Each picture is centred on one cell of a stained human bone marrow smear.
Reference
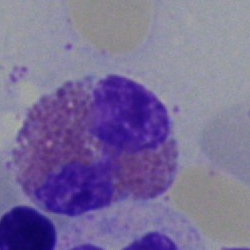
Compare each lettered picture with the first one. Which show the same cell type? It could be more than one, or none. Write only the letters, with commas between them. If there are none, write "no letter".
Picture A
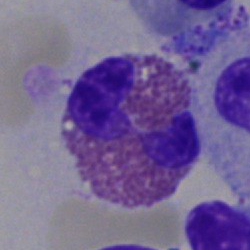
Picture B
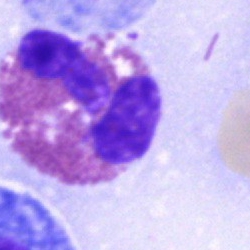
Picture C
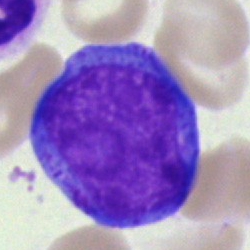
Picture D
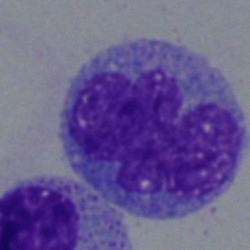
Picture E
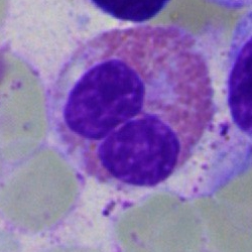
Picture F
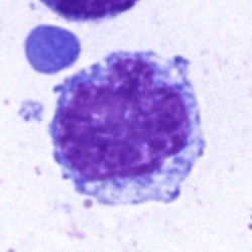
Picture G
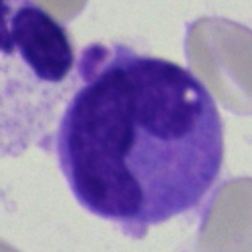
A, B, E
